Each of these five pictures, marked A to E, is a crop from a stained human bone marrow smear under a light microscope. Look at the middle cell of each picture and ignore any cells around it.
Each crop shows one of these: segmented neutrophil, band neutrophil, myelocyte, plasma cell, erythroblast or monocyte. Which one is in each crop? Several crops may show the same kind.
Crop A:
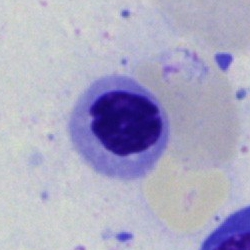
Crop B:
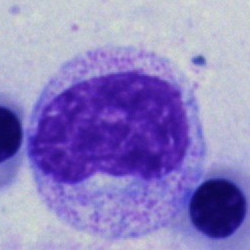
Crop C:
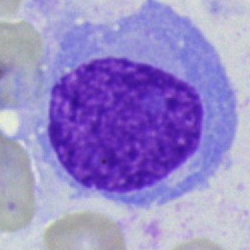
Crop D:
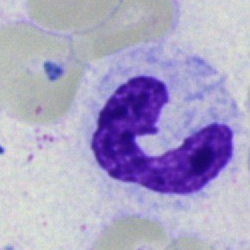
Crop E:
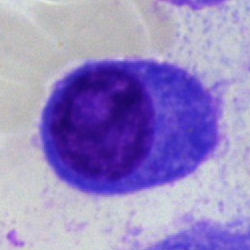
A: erythroblast
B: myelocyte
C: monocyte
D: band neutrophil
E: plasma cell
